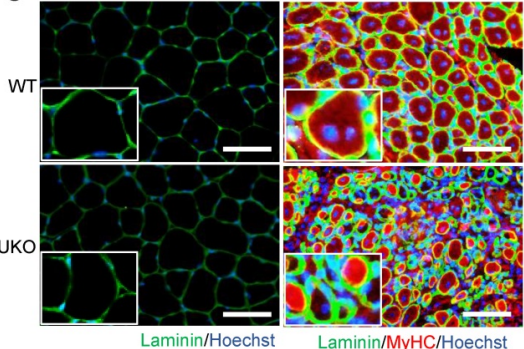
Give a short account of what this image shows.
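Cross-sections of skeletal muscle in which green lines outline each myofiber and blue marks the nuclei. In the regenerating muscle the fibers are small and rounded, their interiors filled with red, and many hold a blue nucleus in the centre. Between the fibers lie many blue nuclei of mononuclear cells, and some fields show fewer and smaller red fibers with more of this interstitial material.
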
